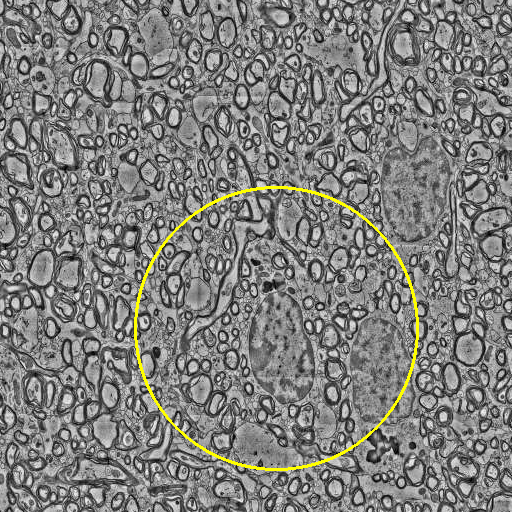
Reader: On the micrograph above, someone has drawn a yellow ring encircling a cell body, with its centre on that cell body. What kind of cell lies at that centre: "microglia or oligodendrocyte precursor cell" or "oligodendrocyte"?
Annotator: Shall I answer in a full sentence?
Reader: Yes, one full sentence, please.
Here a microglial cell or oligodendrocyte precursor cell sits at the centre of the yellow ring drawn on the micrograph.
